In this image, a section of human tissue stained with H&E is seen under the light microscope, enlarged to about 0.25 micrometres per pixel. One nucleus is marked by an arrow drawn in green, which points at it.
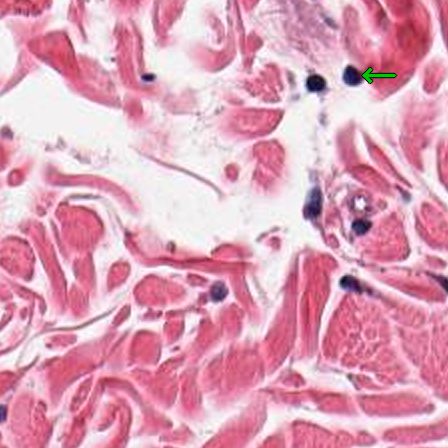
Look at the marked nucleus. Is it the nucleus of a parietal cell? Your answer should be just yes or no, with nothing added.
no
